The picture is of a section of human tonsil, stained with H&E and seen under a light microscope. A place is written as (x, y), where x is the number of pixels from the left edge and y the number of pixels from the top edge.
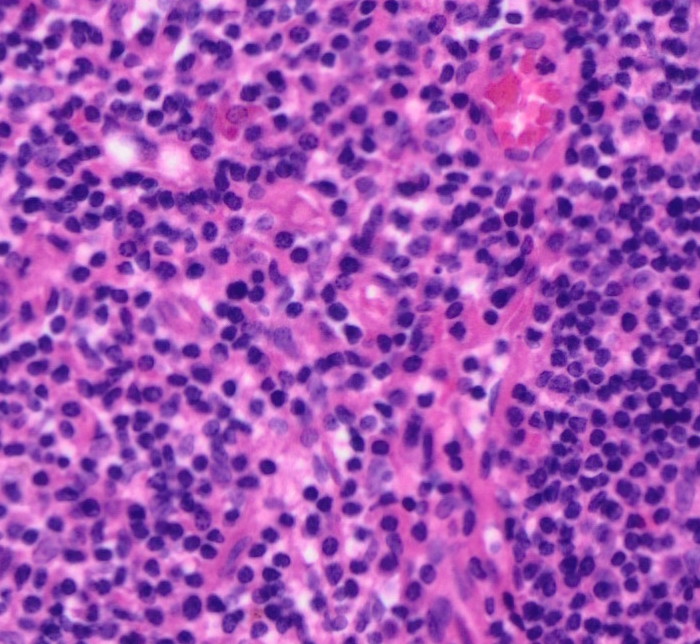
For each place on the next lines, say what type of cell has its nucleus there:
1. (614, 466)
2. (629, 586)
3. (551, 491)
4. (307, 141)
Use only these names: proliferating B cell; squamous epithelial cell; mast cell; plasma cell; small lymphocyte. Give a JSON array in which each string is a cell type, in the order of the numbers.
["small lymphocyte", "small lymphocyte", "small lymphocyte", "plasma cell"]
